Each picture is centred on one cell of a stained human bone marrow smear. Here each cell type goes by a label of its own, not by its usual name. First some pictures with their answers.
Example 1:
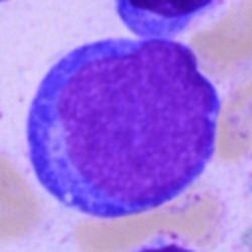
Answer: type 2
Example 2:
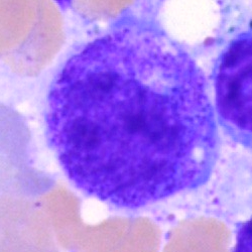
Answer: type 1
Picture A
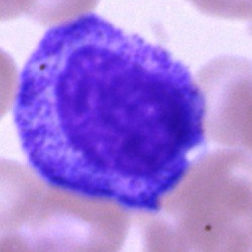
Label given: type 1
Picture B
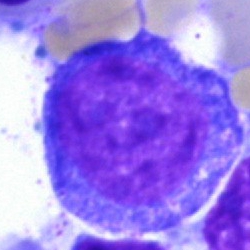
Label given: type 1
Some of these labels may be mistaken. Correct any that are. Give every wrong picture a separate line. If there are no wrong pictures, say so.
Wrong: B (type 1); correct: type 2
